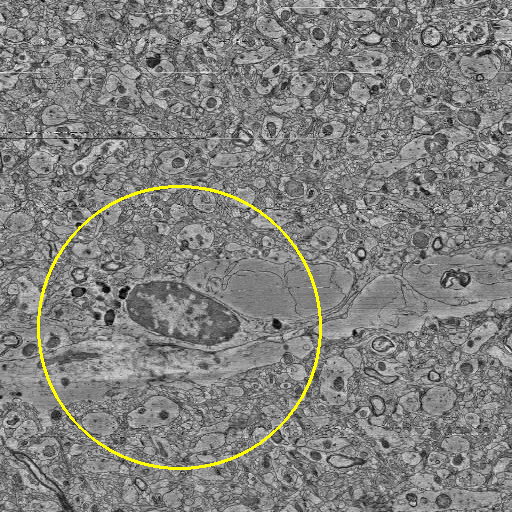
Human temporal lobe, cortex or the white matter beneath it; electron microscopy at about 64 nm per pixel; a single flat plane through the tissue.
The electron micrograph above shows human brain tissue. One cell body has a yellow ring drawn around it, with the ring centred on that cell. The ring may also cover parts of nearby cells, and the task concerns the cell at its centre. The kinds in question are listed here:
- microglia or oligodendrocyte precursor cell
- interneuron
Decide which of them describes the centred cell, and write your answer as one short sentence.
The centred cell is a microglial cell or oligodendrocyte precursor cell.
